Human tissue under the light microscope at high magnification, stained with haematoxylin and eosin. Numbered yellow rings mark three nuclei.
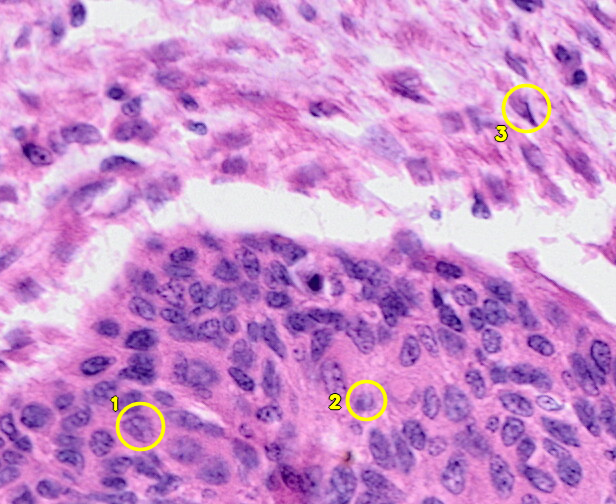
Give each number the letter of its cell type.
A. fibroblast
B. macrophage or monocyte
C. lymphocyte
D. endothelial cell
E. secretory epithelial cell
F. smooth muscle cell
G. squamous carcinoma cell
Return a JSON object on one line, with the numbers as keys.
{"1": "G", "2": "G", "3": "A"}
